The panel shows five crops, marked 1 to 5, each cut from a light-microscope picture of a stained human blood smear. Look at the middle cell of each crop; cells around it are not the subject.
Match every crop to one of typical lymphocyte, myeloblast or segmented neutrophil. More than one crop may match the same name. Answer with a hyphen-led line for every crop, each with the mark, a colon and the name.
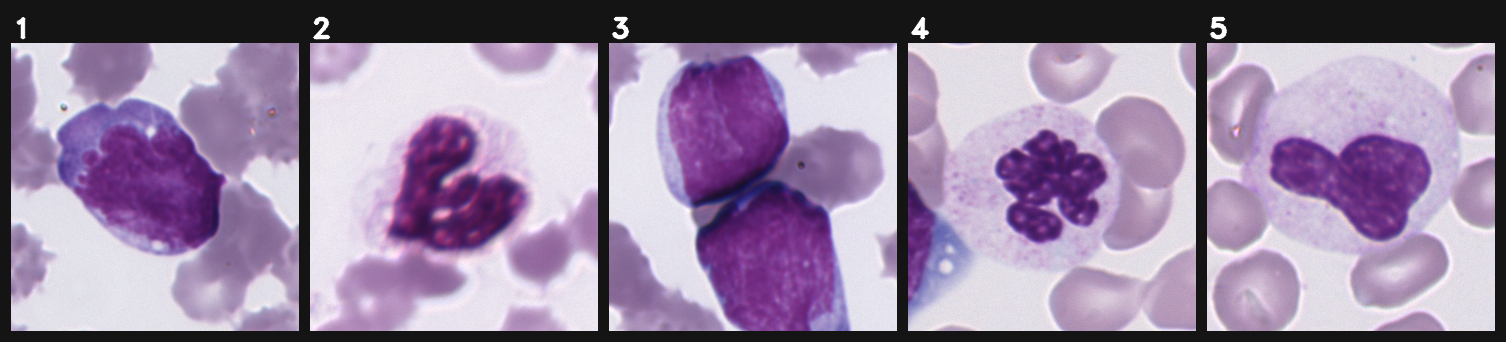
- 1: myeloblast
- 2: segmented neutrophil
- 3: myeloblast
- 4: segmented neutrophil
- 5: segmented neutrophil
